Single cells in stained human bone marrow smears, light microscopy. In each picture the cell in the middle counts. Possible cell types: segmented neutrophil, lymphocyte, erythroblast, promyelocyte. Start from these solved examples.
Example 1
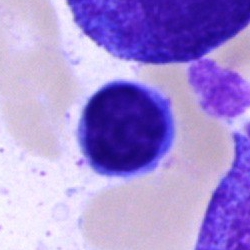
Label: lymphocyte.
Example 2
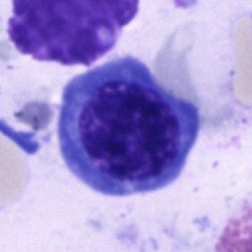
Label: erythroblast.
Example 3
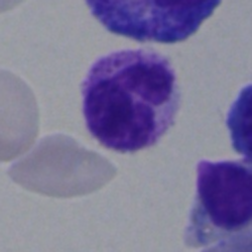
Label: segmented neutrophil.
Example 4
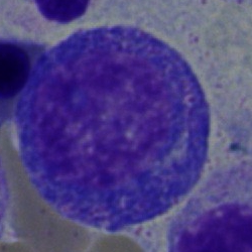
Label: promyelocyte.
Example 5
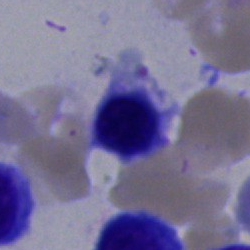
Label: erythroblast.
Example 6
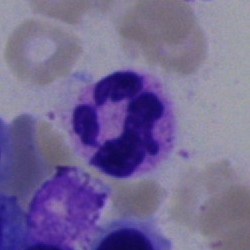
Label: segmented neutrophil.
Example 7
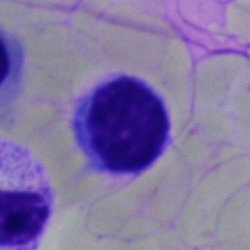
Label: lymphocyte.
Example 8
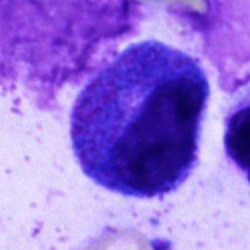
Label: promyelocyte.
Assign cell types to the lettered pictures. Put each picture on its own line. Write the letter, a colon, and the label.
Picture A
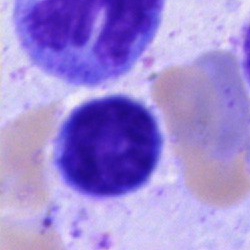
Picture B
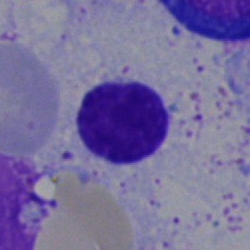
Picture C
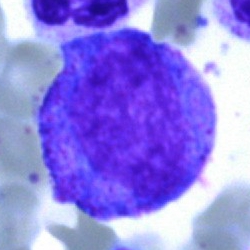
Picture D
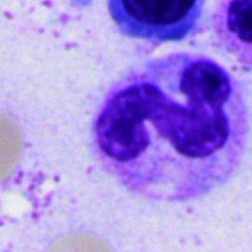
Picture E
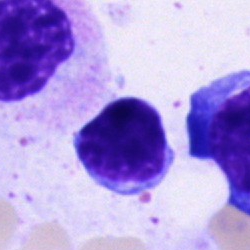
A: lymphocyte.
B: lymphocyte.
C: promyelocyte.
D: segmented neutrophil.
E: lymphocyte.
